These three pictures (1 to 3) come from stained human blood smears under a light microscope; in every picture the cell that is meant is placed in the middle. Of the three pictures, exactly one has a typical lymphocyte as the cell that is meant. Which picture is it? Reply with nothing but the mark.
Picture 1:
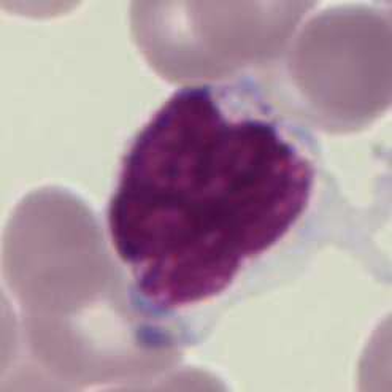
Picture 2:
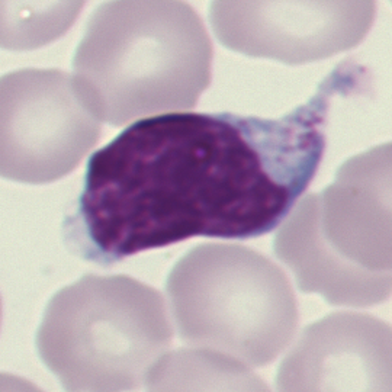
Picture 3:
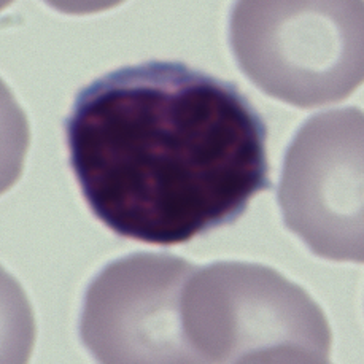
3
